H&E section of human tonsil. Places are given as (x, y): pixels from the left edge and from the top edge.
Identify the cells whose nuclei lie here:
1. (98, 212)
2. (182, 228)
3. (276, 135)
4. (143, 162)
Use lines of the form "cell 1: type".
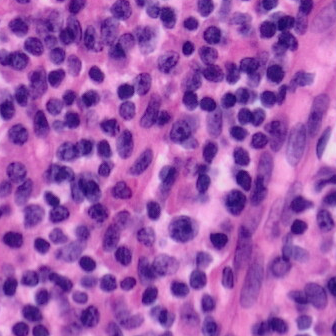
cell 1: plasma cell
cell 2: proliferating B cell
cell 3: endothelial cell
cell 4: endothelial cell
